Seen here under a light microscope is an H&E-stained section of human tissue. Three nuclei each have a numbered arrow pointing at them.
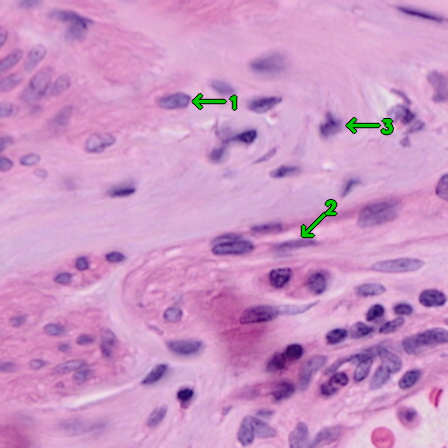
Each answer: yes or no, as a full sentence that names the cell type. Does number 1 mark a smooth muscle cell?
Yes, the numbered nucleus 1 is that of a smooth muscle cell.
